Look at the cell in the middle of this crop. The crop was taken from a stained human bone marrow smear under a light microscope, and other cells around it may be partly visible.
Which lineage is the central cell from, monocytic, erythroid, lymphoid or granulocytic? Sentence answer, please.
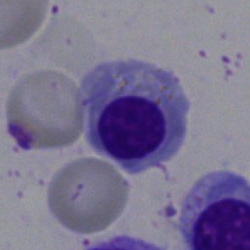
Regarding the central cell, its lineage is erythroid.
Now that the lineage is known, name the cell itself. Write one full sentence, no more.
The cell of interest, located centrally, is an erythroblast.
